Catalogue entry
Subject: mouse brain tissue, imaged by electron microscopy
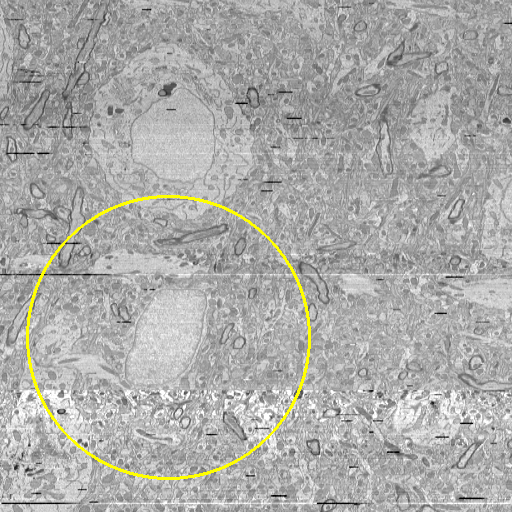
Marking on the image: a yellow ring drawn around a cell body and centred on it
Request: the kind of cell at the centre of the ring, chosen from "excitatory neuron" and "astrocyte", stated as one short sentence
The ring has an astrocyte at its centre.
